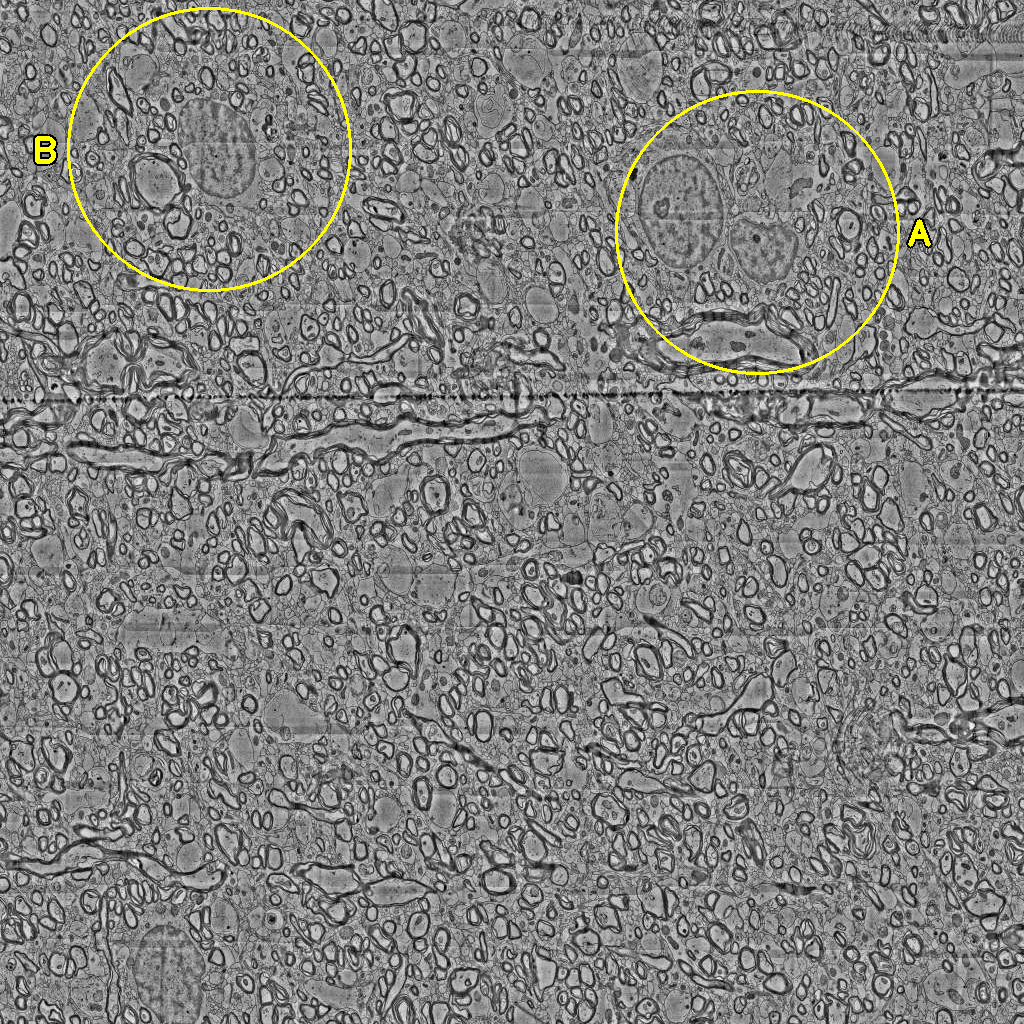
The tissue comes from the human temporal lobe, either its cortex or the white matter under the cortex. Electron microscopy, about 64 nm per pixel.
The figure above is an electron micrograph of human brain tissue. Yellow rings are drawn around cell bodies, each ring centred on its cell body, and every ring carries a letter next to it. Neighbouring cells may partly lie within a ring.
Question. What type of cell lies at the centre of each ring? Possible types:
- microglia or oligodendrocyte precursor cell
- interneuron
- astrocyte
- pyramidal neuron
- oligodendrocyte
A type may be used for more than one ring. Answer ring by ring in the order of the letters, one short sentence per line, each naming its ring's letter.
In ring A, the central cell is an oligodendrocyte.
In ring B, the central cell is an oligodendrocyte.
